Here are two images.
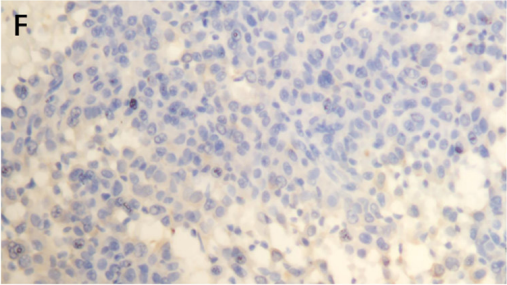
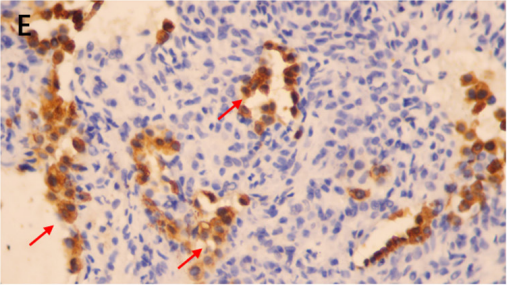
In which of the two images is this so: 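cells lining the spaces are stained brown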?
The second image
